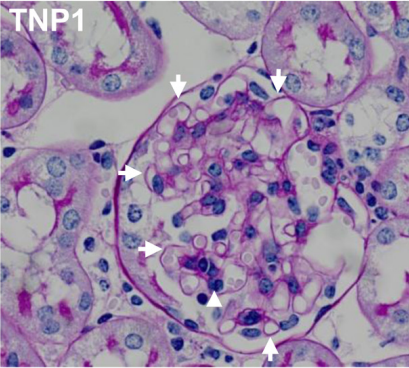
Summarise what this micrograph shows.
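A glomerulus in kidney cortex with a full, crowded capillary tuft filling most of its capsule. Capillary loops have magenta walls, several of them thick and rounded at the edge of the tuft. Many dark nuclei lie within and between the loops, some small and dense inside capillary spaces.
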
